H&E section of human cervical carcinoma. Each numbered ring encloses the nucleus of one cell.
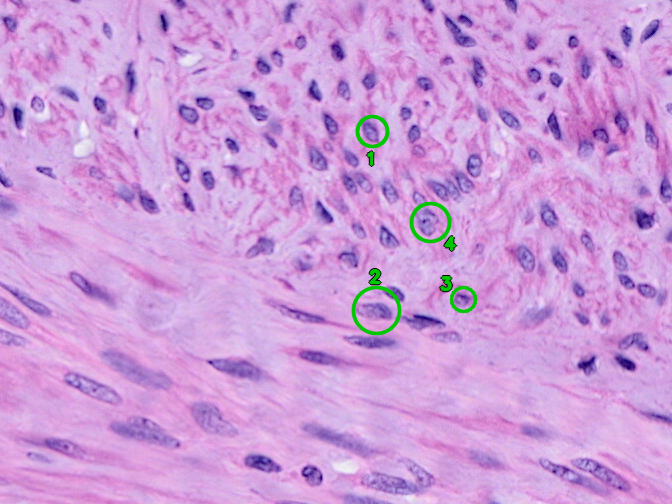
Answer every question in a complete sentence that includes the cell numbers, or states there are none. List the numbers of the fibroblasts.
Of all the numbered cells, only one is a fibroblast, and that is cell 2.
